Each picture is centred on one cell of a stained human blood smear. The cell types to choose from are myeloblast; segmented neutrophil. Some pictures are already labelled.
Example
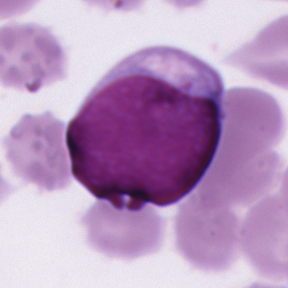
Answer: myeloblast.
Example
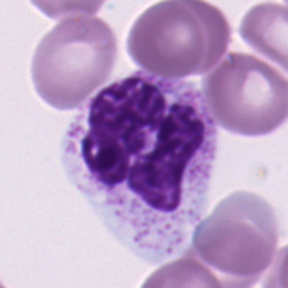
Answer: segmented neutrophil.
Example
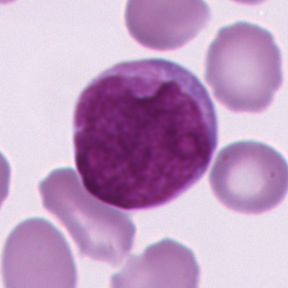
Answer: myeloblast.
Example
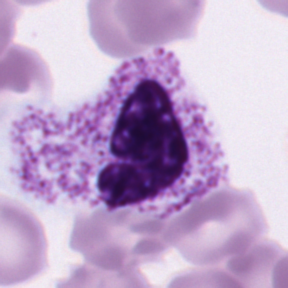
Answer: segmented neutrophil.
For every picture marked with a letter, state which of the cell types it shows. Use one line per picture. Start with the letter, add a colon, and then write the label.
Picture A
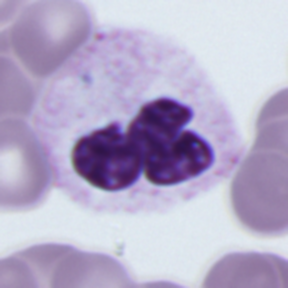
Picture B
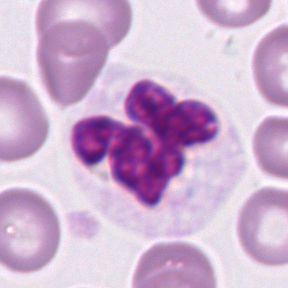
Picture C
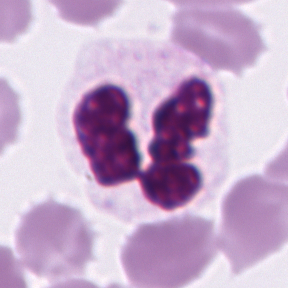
A: segmented neutrophil.
B: segmented neutrophil.
C: segmented neutrophil.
